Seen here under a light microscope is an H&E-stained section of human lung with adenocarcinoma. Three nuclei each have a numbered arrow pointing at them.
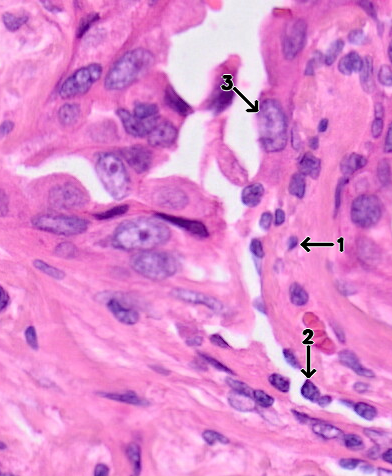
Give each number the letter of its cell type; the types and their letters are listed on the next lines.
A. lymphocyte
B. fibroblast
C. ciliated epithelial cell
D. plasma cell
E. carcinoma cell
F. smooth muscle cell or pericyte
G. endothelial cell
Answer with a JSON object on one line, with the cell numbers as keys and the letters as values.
{"1": "A", "2": "A", "3": "E"}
